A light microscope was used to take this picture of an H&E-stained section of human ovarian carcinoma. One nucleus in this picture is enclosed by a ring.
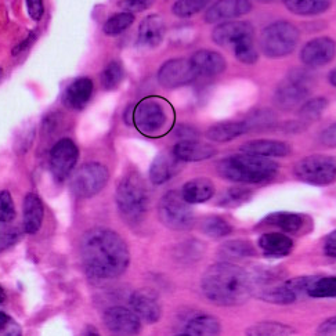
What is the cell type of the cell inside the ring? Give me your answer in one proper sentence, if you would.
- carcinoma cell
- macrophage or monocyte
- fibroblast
Speaking plainly, the cell inside the ring is nothing other than a carcinoma cell.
